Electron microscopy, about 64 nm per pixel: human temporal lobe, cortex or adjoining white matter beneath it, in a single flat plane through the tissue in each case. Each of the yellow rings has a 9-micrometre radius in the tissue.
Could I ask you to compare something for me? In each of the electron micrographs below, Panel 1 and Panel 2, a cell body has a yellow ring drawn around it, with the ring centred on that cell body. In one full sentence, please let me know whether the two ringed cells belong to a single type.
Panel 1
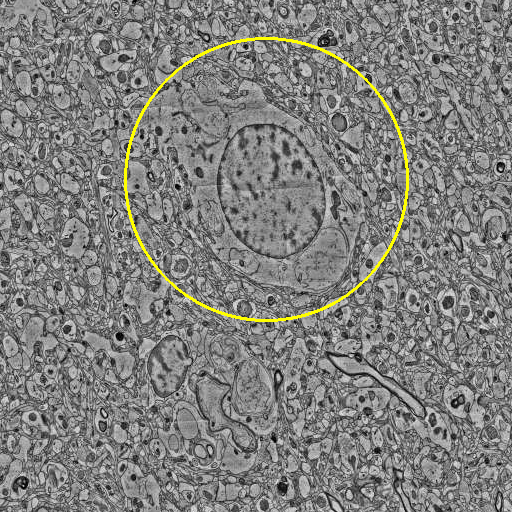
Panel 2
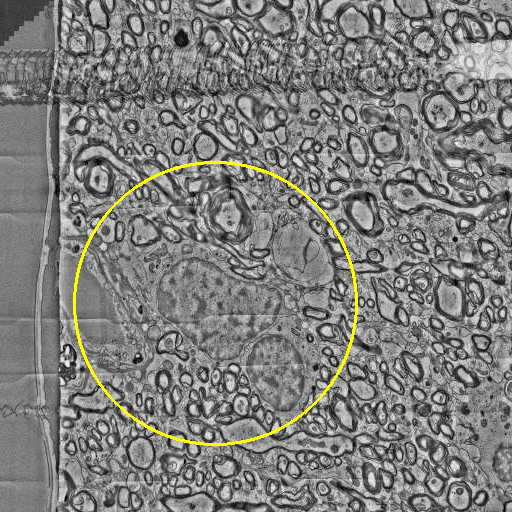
No, the two cells at the centres of the rings are of two types.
